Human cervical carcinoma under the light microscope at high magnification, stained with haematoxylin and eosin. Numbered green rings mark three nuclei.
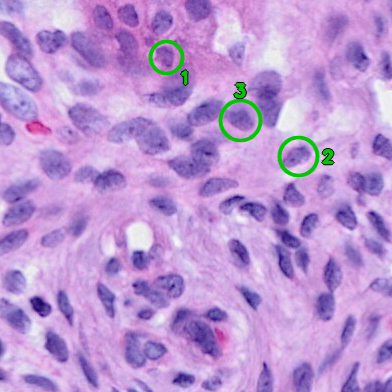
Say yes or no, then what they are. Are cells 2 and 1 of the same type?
No, cell 1 is a secretory epithelial cell, and cell 2 is a fibroblast.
